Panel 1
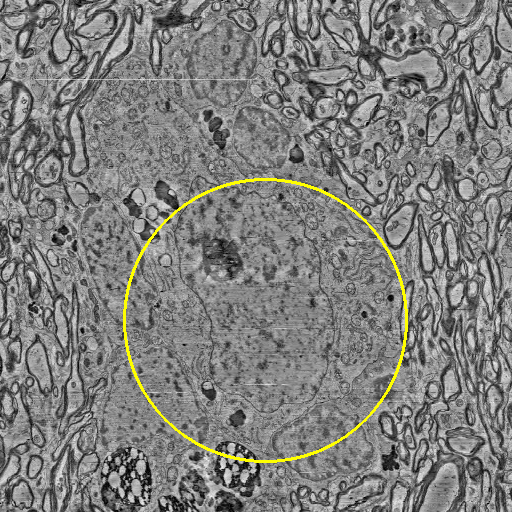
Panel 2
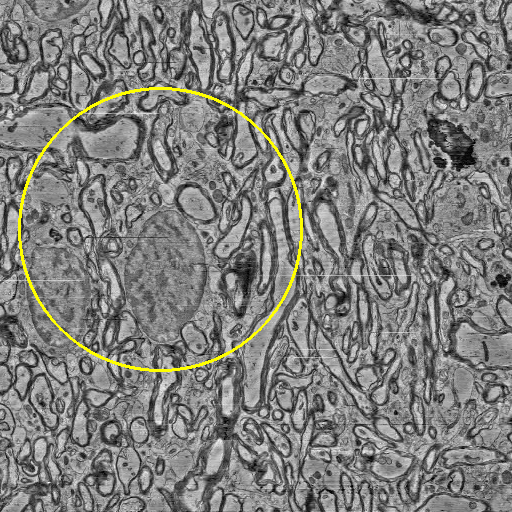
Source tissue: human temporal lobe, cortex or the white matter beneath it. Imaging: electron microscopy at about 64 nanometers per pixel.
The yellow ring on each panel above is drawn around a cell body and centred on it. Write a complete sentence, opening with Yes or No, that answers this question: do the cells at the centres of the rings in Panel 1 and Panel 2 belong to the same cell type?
No, the two cells belong to two cell types.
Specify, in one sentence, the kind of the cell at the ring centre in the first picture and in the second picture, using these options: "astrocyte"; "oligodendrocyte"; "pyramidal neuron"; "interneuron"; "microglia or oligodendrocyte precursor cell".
So the first is a pyramidal neuron, the second an oligodendrocyte.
